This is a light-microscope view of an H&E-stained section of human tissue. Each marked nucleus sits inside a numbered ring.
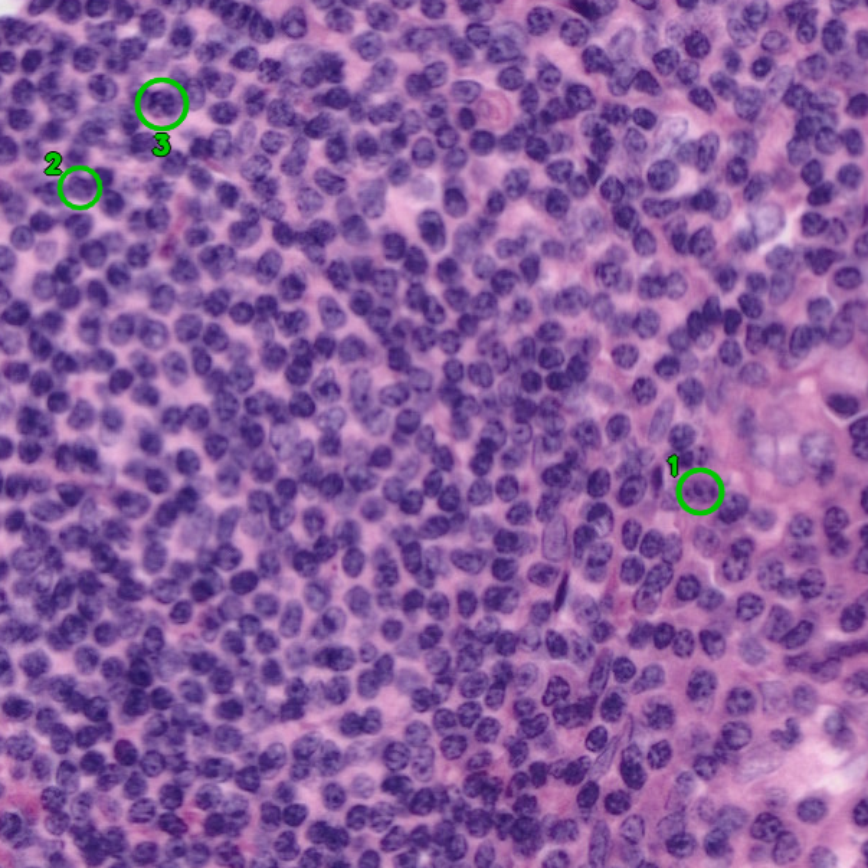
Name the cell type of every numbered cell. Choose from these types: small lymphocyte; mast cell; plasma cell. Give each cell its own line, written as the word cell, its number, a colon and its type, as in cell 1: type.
cell 1: plasma cell
cell 2: small lymphocyte
cell 3: small lymphocyte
